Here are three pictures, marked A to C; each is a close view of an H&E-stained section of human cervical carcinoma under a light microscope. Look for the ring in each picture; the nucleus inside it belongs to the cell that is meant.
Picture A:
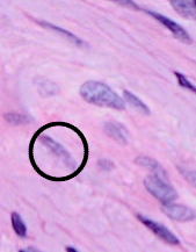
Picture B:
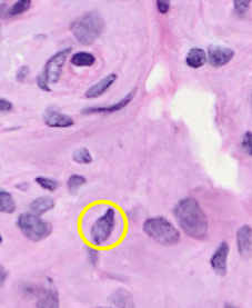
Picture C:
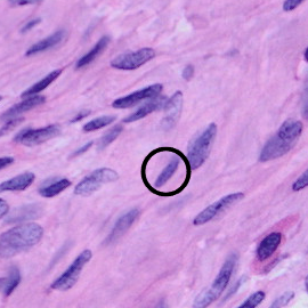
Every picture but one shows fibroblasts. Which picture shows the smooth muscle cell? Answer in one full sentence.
The picture with the smooth muscle cell is A.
